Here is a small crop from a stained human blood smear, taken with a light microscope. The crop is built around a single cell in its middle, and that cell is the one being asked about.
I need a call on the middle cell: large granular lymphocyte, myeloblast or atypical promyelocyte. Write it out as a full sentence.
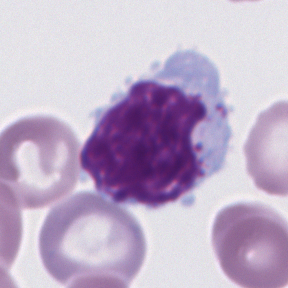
The cell at the central position in this crop is a large granular lymphocyte.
